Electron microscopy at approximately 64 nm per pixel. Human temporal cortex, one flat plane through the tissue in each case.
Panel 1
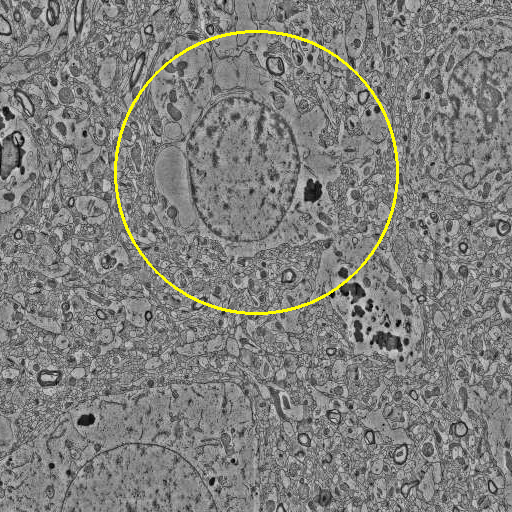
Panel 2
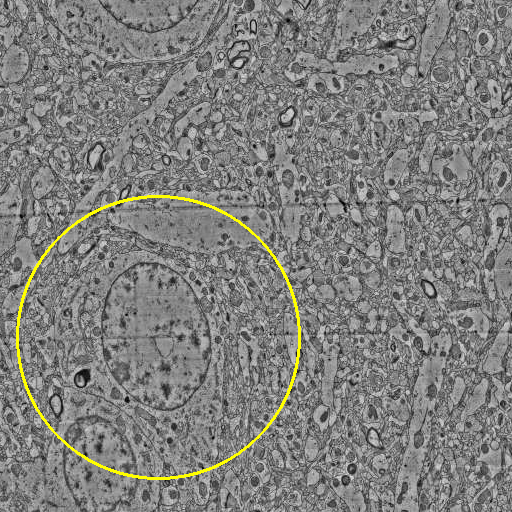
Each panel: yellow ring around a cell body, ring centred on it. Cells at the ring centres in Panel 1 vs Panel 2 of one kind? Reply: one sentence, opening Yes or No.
No, Panel 1 and Panel 2 have cells of two kinds at the ring centres.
